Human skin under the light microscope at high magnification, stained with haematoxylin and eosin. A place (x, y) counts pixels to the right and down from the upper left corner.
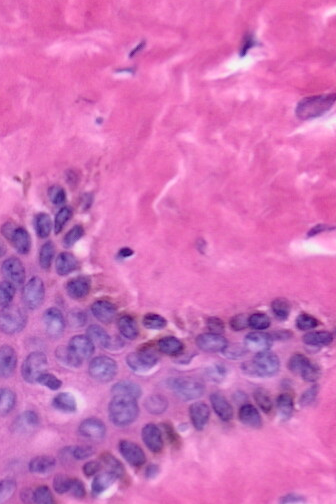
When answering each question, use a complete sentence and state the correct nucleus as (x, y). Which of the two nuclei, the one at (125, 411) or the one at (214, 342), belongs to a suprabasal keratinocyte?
The member of the pair belonging to a suprabasal keratinocyte is the nucleus at (125, 411).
